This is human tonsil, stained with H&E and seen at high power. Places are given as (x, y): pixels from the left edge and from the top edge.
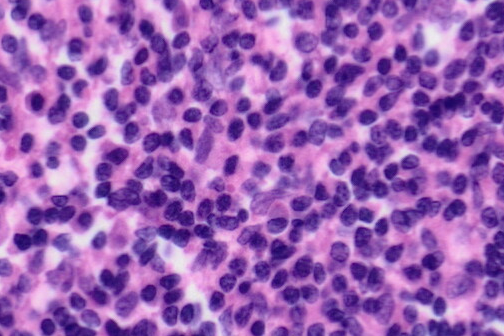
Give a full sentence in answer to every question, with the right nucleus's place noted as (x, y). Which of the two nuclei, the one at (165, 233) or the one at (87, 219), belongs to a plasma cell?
The one belonging to a plasma cell is the nucleus at (87, 219), not the other.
